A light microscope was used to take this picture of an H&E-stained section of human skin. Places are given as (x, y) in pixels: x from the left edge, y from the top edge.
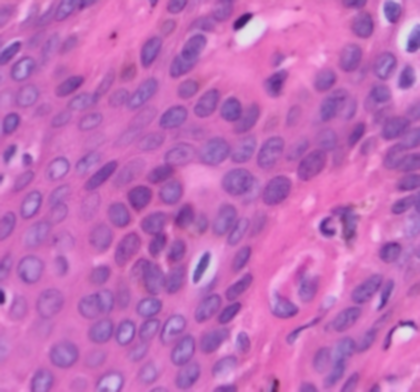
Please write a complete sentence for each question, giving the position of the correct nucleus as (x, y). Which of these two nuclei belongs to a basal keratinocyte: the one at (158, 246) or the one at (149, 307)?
In this pair, the nucleus at (158, 246) belongs to a basal keratinocyte.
